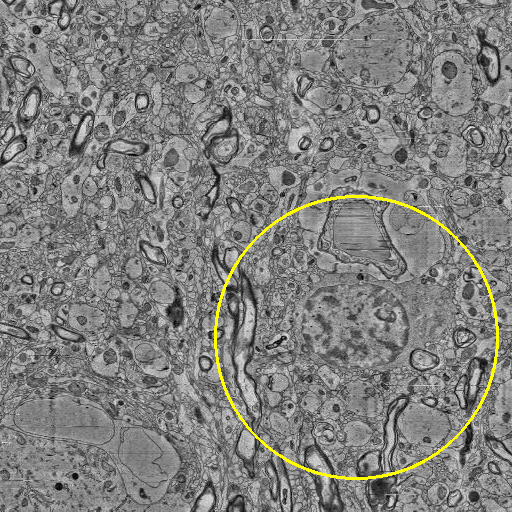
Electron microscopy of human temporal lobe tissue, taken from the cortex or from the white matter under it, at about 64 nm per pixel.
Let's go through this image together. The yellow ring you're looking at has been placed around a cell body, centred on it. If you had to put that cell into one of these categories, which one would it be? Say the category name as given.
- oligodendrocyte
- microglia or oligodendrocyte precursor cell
oligodendrocyte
